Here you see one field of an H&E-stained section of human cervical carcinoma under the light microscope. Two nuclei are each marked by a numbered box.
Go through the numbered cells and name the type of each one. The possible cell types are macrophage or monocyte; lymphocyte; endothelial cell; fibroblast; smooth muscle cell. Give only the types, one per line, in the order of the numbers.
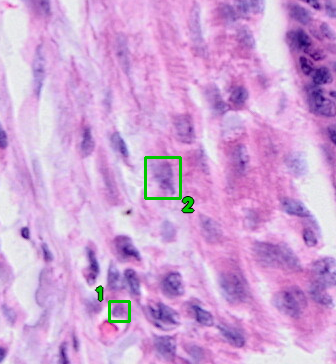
endothelial cell
fibroblast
